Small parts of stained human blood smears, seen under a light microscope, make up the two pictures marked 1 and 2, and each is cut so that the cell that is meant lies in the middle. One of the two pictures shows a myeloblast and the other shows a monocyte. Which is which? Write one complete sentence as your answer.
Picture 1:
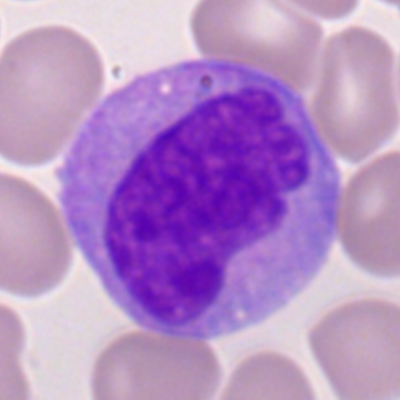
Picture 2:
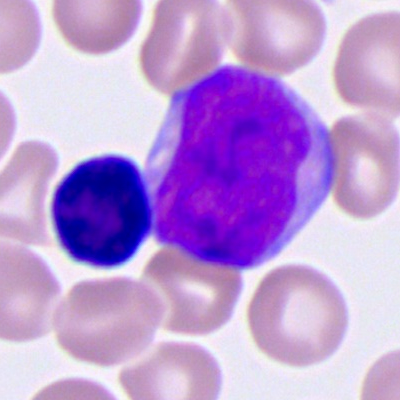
It is picture 1 that shows a monocyte, and picture 2 that shows a myeloblast.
